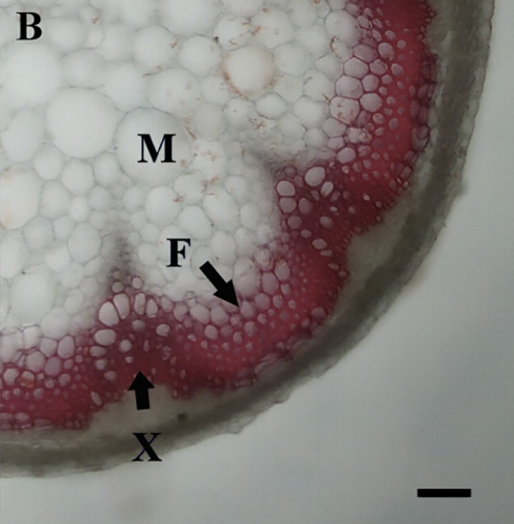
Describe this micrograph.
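Stem cross-section showing a pith of large, rounded, unstained medullary parenchyma cells enclosed by a red-magenta ring of small thick-walled cells, comprising interfascicular fibres and xylem. The stained ring forms lobes protruding toward the pith, with some wider open lumens among the smaller stained cells, and a grey outer band of cortex and epidermis lies beyond it.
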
